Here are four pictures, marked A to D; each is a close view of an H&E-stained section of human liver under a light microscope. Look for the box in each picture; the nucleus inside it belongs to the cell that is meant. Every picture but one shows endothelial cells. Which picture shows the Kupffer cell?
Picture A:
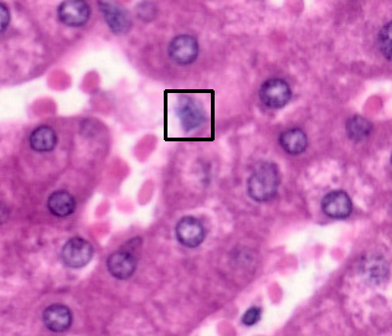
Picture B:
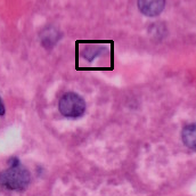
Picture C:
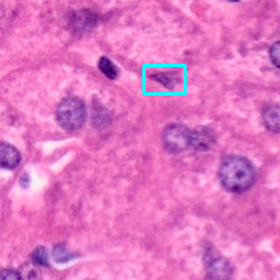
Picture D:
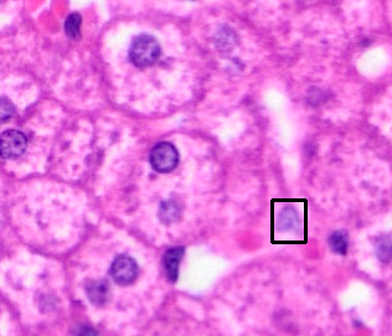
D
